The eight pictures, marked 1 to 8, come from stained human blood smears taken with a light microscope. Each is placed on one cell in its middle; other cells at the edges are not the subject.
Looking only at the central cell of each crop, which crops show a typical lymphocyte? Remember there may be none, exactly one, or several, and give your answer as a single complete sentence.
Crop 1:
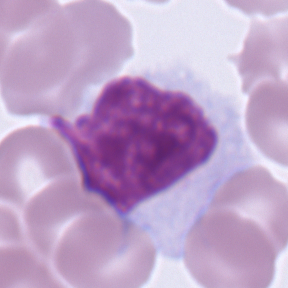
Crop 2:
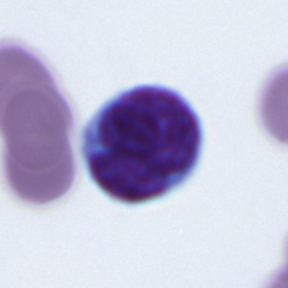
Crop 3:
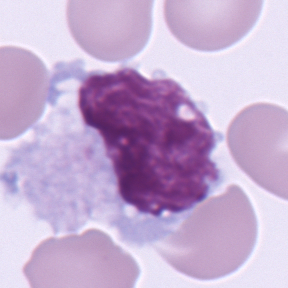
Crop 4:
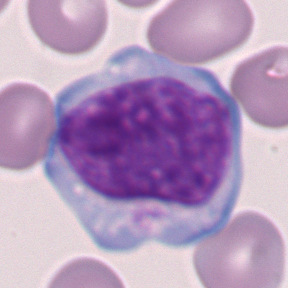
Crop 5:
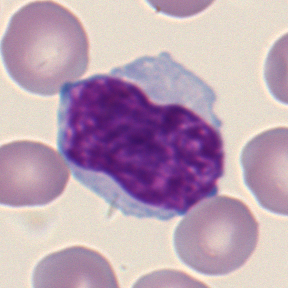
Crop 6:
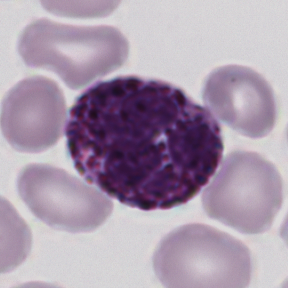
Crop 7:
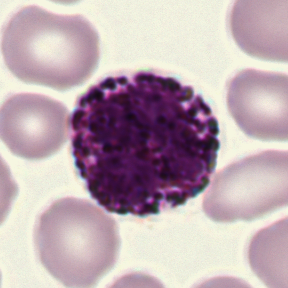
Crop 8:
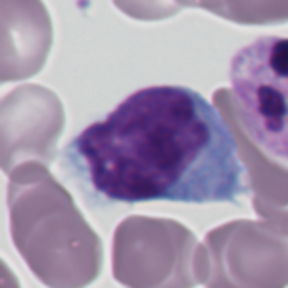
The right choice is crop 2, the only crop with a typical lymphocyte.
